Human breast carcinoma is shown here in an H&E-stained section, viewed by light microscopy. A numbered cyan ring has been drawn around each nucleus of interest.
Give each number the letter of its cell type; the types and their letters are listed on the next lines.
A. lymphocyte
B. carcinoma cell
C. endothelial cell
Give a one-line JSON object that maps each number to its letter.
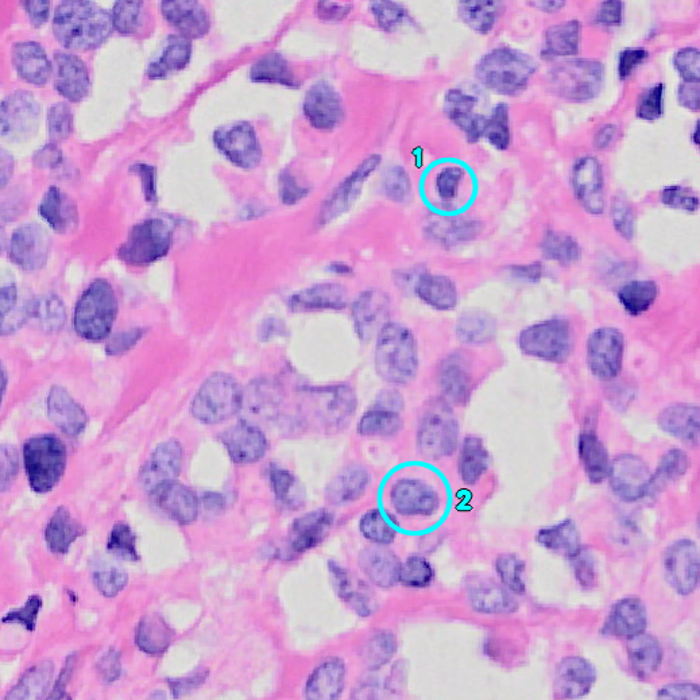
{"1": "A", "2": "B"}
